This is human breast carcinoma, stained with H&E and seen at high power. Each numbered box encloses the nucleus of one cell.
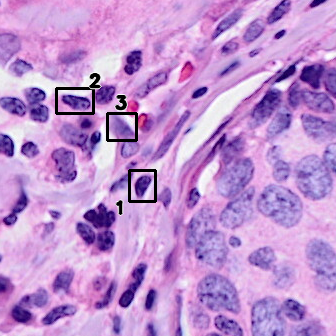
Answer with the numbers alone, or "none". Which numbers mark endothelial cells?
3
